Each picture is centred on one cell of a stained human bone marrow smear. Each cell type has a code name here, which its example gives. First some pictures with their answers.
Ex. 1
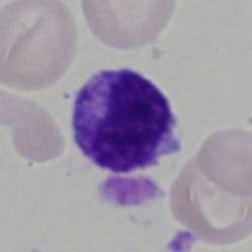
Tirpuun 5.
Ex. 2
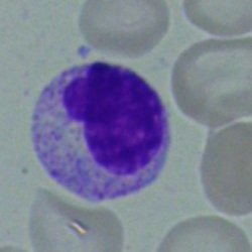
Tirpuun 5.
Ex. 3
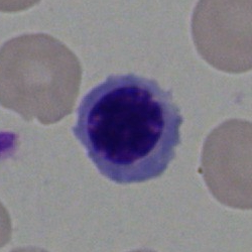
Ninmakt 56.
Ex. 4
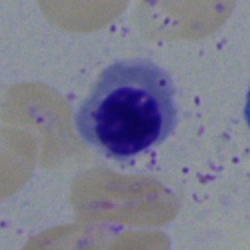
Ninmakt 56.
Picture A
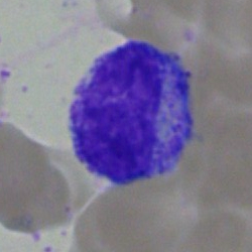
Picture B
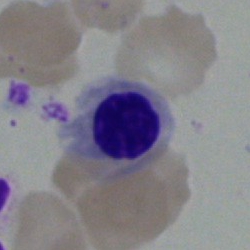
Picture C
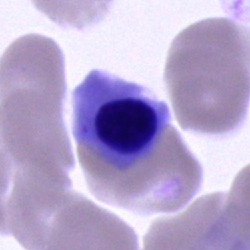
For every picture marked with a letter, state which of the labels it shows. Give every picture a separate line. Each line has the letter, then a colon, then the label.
A: Tirpuun 5.
B: Ninmakt 56.
C: Ninmakt 56.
